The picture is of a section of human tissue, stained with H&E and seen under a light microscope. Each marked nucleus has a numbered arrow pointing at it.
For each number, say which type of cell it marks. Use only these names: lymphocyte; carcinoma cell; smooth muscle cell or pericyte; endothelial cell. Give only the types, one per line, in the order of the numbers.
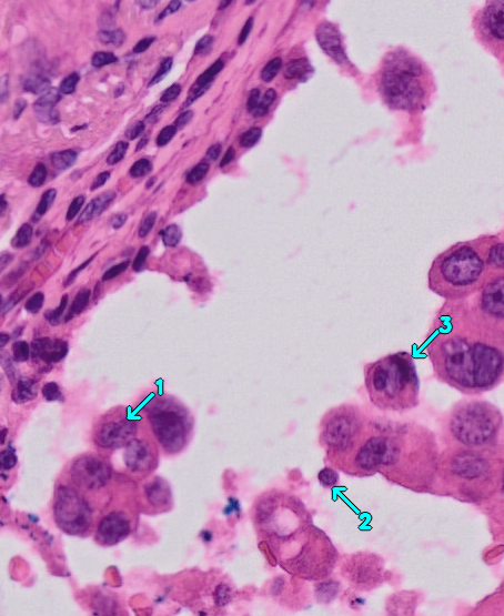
carcinoma cell
lymphocyte
carcinoma cell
